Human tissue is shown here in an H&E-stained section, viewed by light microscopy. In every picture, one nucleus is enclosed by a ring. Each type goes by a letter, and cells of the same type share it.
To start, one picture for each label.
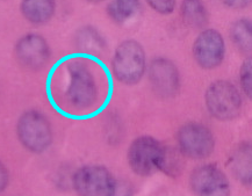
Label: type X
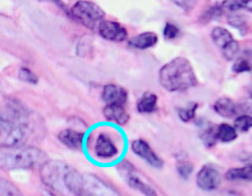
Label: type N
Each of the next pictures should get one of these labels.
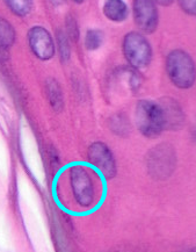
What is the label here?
type X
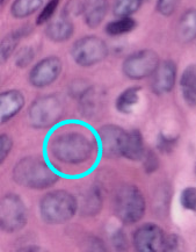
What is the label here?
type X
